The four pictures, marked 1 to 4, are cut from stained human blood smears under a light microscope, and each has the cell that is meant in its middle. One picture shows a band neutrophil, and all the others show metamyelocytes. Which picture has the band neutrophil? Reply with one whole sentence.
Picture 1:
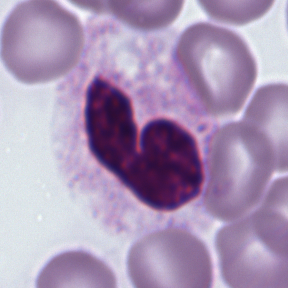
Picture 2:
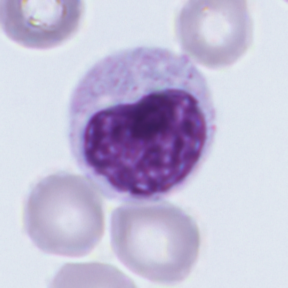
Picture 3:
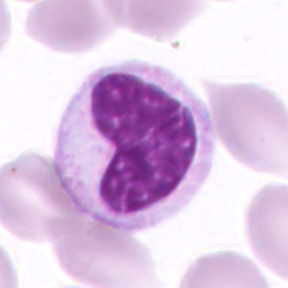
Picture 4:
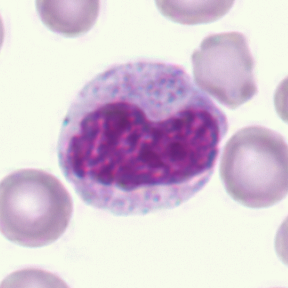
It is picture 1 that shows the band neutrophil.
